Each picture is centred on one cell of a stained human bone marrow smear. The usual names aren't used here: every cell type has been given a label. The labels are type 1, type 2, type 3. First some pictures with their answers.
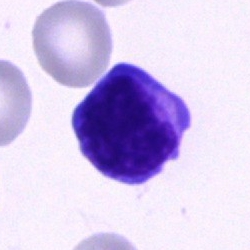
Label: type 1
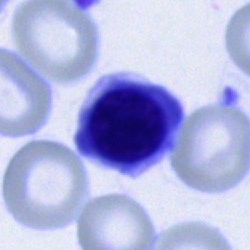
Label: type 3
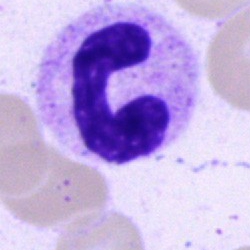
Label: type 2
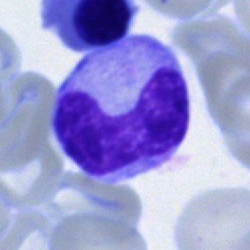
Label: type 2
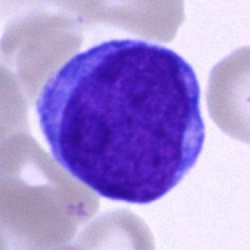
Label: type 1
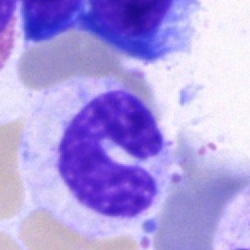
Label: type 2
